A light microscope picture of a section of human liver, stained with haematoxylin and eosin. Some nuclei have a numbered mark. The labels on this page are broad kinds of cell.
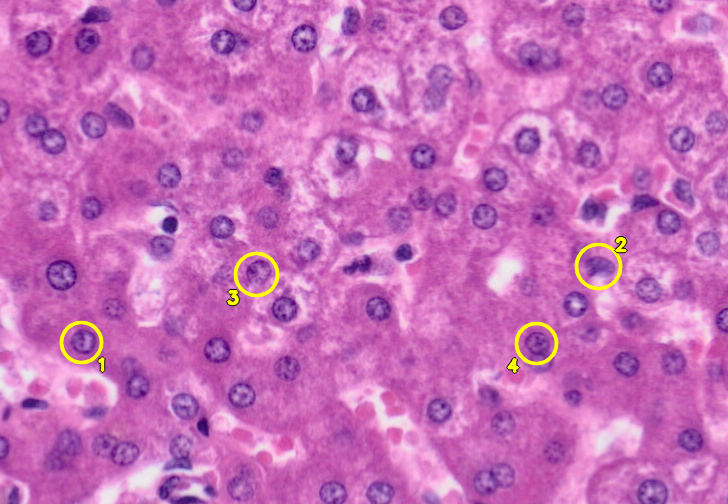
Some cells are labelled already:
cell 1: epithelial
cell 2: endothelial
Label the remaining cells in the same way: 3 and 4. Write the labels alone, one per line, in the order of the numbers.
epithelial
epithelial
